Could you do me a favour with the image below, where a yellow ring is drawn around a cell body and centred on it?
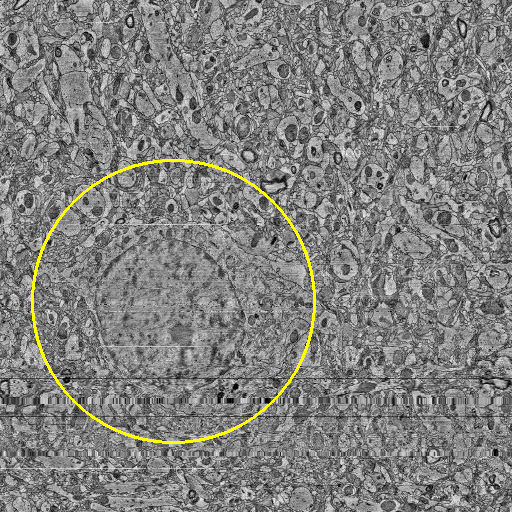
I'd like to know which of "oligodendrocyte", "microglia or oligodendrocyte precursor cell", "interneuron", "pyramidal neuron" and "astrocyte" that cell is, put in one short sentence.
The cell at the ring's centre is an interneuron.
